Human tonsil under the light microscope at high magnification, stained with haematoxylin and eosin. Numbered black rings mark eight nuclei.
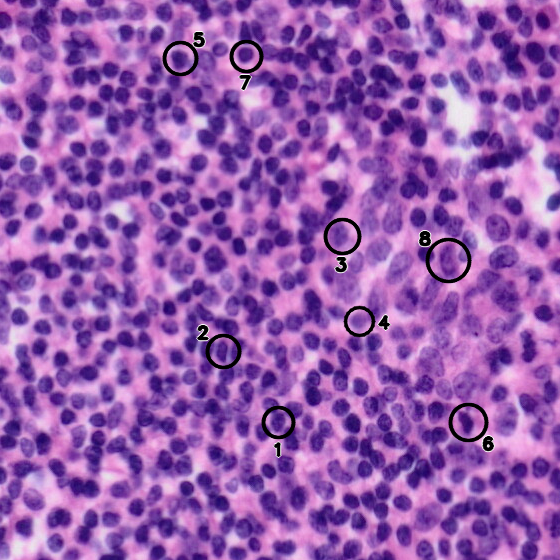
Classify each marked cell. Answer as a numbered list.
1. small lymphocyte
2. small lymphocyte
3. proliferating B cell
4. proliferating B cell
5. small lymphocyte
6. proliferating B cell
7. small lymphocyte
8. proliferating B cell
